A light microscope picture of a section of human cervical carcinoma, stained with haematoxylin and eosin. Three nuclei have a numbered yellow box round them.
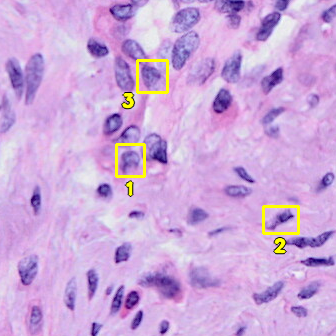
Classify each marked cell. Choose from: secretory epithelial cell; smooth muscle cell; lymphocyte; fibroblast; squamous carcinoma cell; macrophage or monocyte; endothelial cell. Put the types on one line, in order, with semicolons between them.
endothelial cell; fibroblast; endothelial cell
